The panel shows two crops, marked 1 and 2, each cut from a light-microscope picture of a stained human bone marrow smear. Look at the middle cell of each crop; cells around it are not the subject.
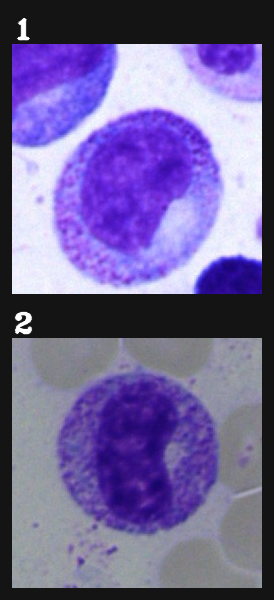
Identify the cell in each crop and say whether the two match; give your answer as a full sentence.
Yes, both crops show metamyelocytes, the one and the other.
